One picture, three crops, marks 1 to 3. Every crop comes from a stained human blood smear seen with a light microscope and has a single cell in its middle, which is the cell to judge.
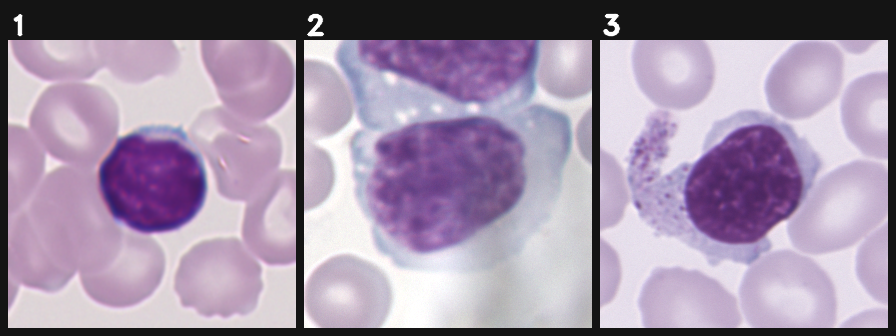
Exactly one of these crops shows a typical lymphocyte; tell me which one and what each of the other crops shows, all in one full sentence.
It is a typical lymphocyte that crop 1 shows, while crop 2 is a myeloblast and crop 3 is a large granular lymphocyte.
